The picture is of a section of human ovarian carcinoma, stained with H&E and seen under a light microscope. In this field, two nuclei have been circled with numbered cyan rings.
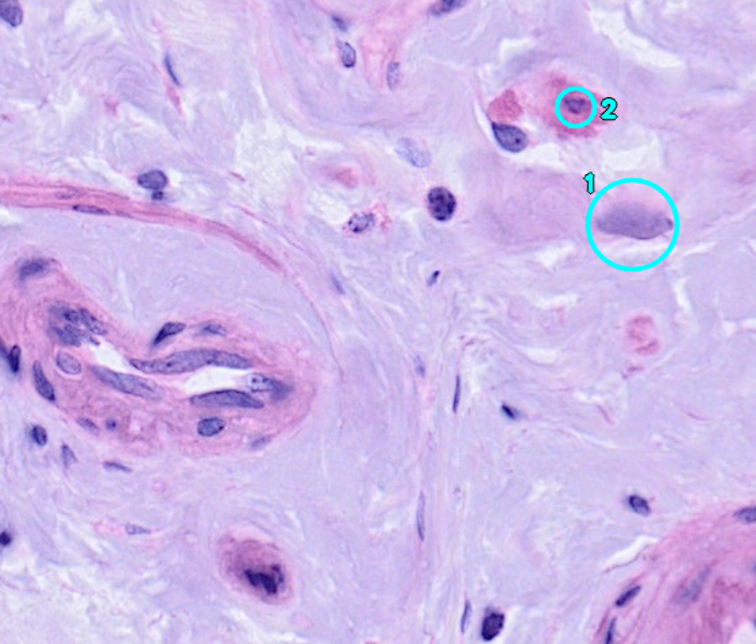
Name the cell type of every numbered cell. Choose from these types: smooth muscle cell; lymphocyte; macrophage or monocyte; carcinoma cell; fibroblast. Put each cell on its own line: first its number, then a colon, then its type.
1: fibroblast
2: smooth muscle cell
